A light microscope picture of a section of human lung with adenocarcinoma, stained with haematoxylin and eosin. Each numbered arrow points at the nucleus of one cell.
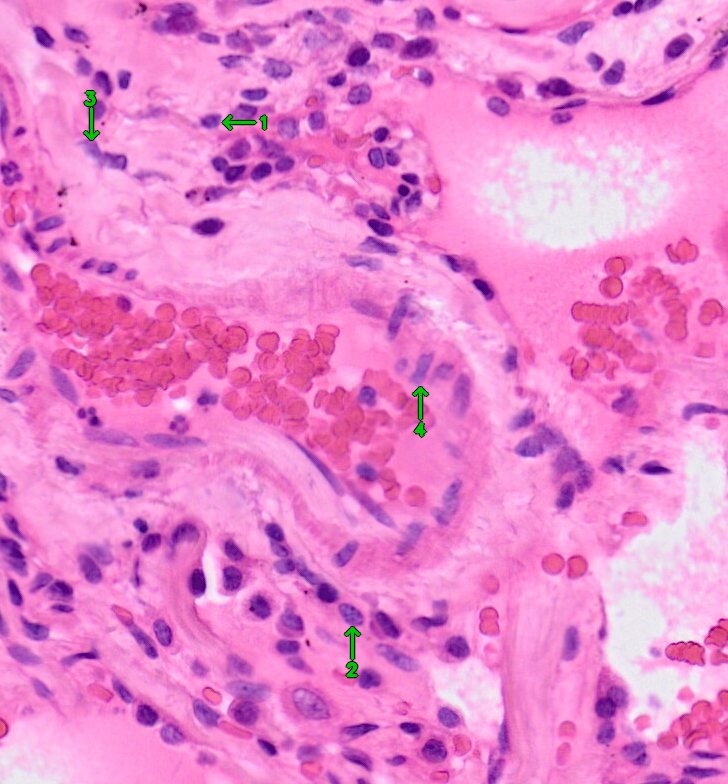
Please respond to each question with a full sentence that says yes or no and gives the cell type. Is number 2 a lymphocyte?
No, cell 2 is a mast cell, not a lymphocyte.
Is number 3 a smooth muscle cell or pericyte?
No, number 3 belongs to a fibroblast, not to a smooth muscle cell or pericyte.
